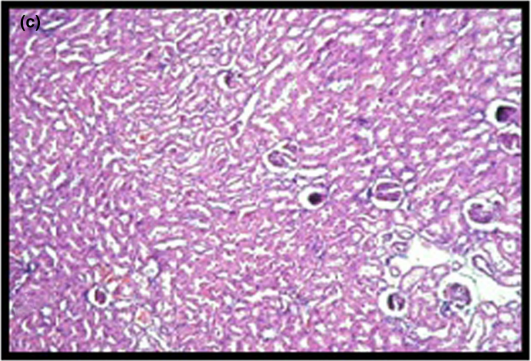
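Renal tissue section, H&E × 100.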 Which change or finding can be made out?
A: focal glomerular atrophy and sclerosis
